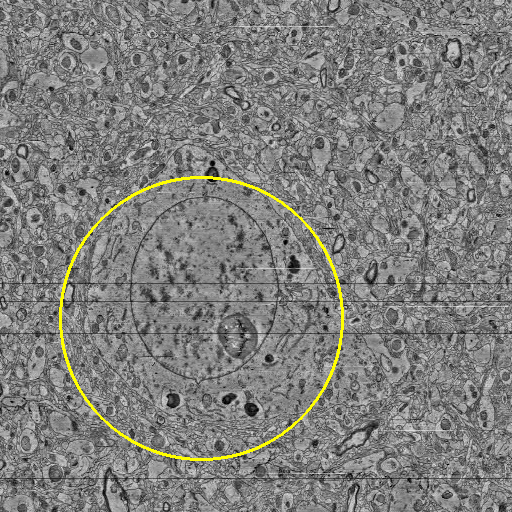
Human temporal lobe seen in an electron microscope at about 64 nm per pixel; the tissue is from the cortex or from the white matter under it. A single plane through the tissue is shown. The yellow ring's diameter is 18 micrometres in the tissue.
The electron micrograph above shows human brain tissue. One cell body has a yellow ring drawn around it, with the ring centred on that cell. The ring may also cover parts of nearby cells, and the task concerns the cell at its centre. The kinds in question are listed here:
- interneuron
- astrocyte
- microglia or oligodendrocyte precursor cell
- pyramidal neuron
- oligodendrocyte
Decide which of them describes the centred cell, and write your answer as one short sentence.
The centred cell is a pyramidal neuron.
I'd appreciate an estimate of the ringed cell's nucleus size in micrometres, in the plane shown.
The ringed cell's nucleus measures approximately 12 by 10 micrometres in this plane.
